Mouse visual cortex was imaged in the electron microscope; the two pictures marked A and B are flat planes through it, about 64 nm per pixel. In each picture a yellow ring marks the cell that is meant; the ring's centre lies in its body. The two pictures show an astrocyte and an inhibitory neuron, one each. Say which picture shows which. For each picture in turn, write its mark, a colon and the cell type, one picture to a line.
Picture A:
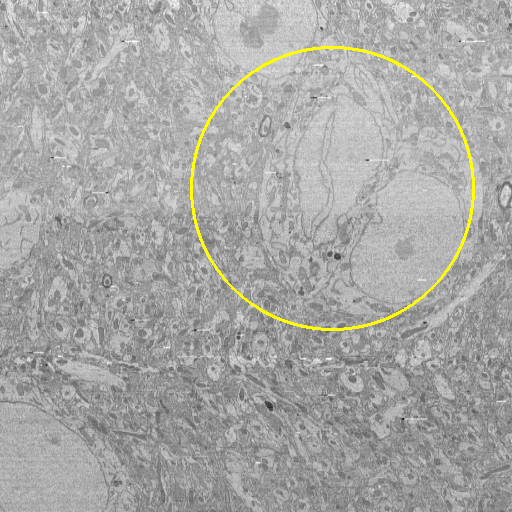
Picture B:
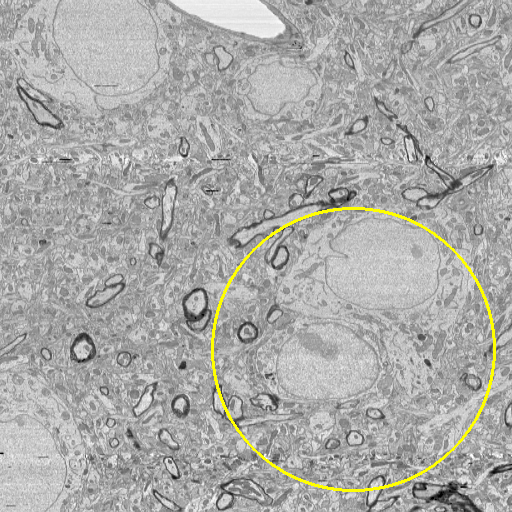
A: inhibitory neuron
B: astrocyte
